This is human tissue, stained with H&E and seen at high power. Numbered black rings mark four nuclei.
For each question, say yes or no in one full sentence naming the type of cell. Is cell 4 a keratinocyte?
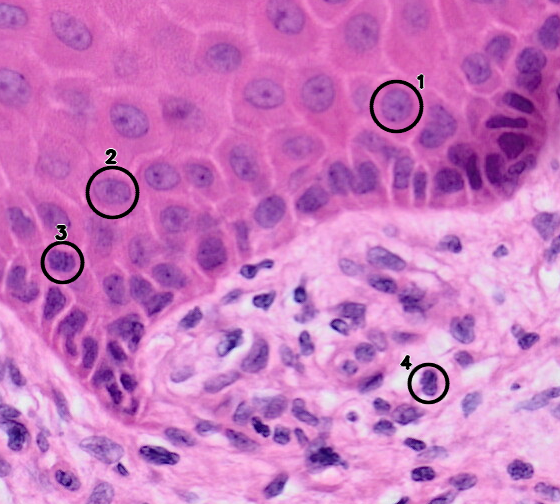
No, cell 4 has been misnamed; it is a lymphocyte, not a keratinocyte.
